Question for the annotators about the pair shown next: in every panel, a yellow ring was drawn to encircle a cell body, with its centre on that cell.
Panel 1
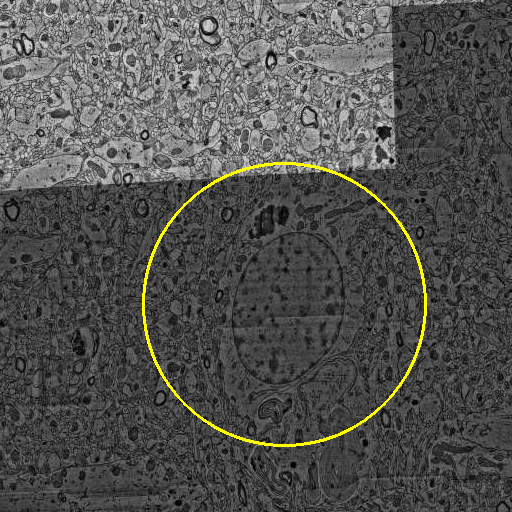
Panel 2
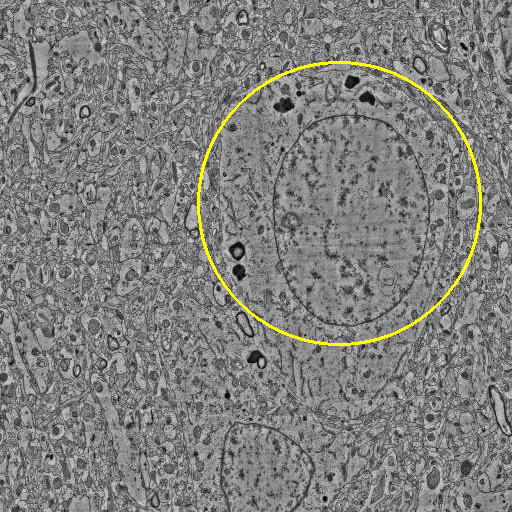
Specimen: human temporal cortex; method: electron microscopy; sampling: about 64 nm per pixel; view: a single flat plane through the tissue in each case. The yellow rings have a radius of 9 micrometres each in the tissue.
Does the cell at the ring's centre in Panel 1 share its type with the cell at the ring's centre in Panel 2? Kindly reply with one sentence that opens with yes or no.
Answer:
No, in Panels 1 and 2 the cells at the ring centres belong to separate types.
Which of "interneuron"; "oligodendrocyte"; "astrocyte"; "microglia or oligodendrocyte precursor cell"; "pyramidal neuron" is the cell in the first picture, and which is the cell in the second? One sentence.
The two differ: the first cell is an astrocyte and the second is a pyramidal neuron.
